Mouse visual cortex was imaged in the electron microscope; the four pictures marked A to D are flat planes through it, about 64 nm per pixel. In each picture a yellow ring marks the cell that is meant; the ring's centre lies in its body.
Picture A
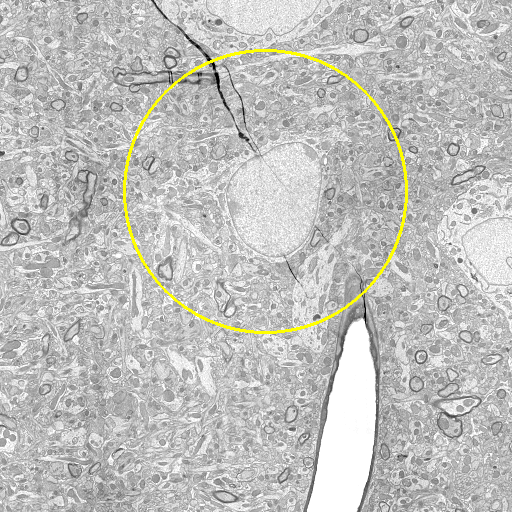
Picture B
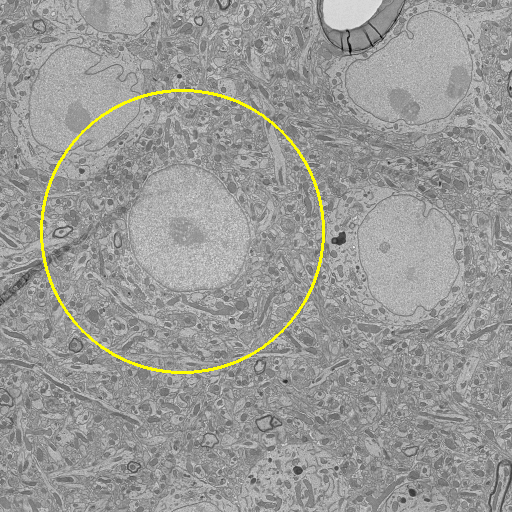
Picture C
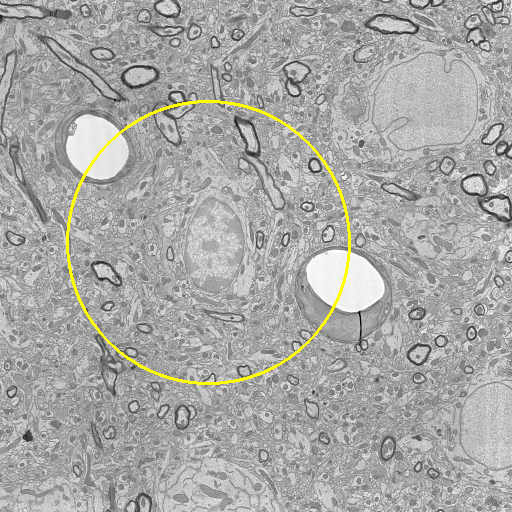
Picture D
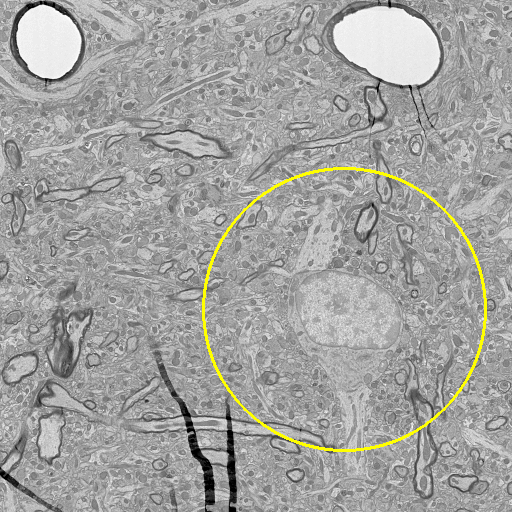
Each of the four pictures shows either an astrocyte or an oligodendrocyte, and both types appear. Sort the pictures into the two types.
Pictures A and B show astrocytes; pictures C and D show oligodendrocytes.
